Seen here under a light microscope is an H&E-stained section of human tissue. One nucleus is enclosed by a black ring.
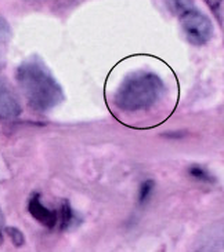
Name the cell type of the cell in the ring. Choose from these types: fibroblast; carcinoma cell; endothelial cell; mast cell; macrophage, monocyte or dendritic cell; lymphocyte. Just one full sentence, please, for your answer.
By its classification, the cell in the ring is a carcinoma cell.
